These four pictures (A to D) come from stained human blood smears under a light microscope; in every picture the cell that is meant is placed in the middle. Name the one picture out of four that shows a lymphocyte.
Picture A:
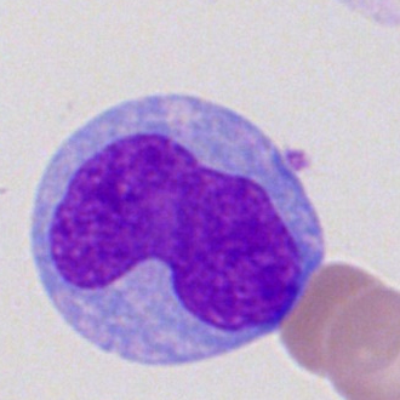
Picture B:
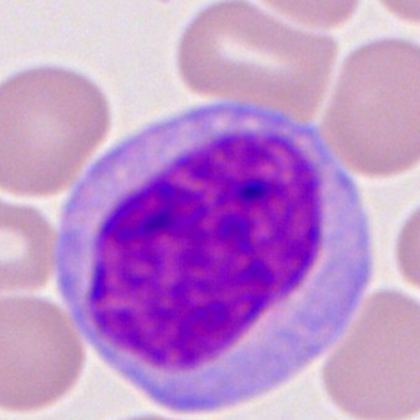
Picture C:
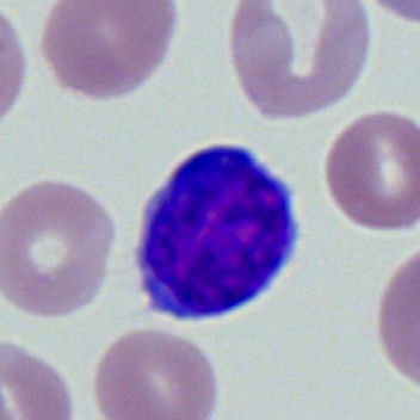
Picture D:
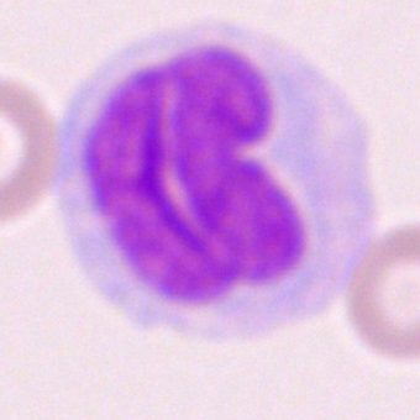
C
